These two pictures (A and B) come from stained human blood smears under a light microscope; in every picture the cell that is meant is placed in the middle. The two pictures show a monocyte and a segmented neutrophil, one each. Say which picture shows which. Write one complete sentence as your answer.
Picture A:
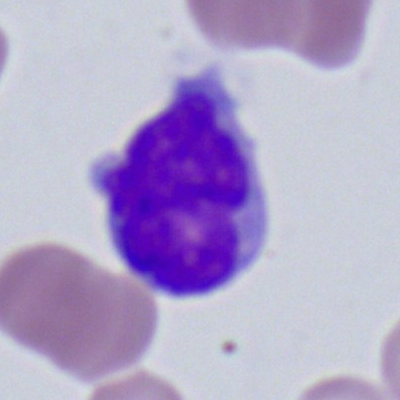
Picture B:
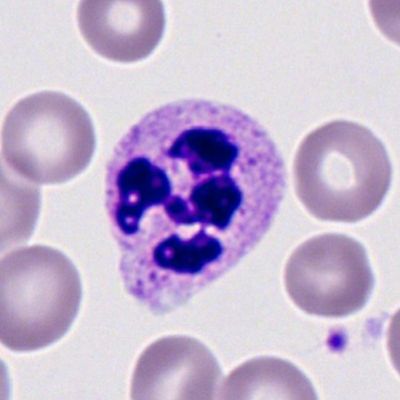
Picture A shows a monocyte and picture B shows a segmented neutrophil.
